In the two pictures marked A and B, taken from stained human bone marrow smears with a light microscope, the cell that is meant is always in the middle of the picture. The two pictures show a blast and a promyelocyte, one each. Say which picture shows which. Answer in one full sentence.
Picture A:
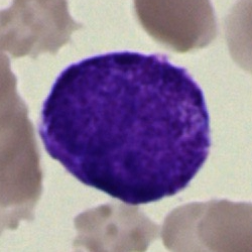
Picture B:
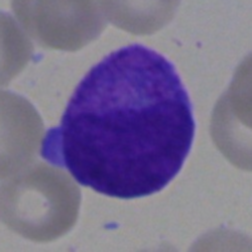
Picture A shows a promyelocyte and picture B shows a blast.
